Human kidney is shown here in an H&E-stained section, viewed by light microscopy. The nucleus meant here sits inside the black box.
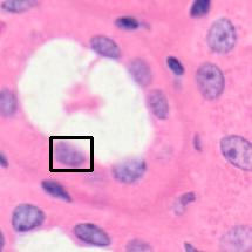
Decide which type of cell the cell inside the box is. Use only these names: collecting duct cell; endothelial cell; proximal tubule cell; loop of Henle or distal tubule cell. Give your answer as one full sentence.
By cell type, the cell inside the box is a loop of Henle or distal tubule cell.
